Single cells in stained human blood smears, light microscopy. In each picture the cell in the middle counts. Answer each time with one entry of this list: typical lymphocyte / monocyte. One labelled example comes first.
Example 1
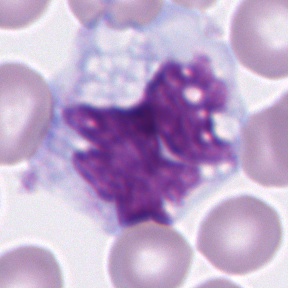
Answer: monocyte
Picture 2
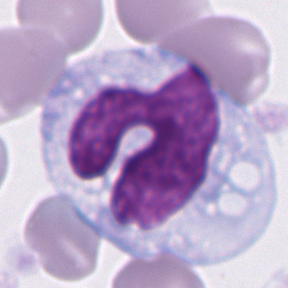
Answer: monocyte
